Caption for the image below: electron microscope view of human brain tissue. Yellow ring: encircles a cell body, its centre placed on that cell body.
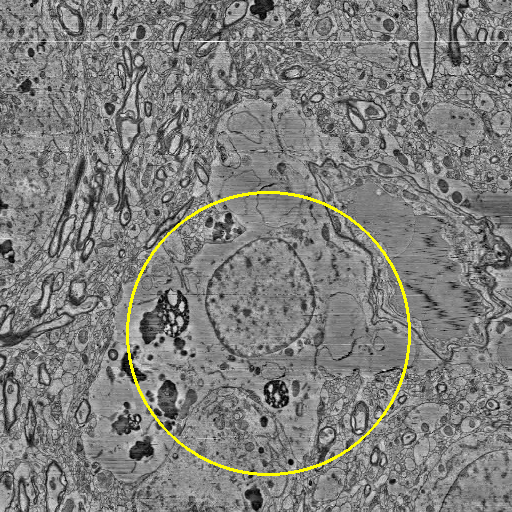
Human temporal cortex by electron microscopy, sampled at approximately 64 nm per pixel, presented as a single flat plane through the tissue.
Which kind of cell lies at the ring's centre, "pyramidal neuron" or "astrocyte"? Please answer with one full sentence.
The picture shows an astrocyte at the centre of the yellow ring.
